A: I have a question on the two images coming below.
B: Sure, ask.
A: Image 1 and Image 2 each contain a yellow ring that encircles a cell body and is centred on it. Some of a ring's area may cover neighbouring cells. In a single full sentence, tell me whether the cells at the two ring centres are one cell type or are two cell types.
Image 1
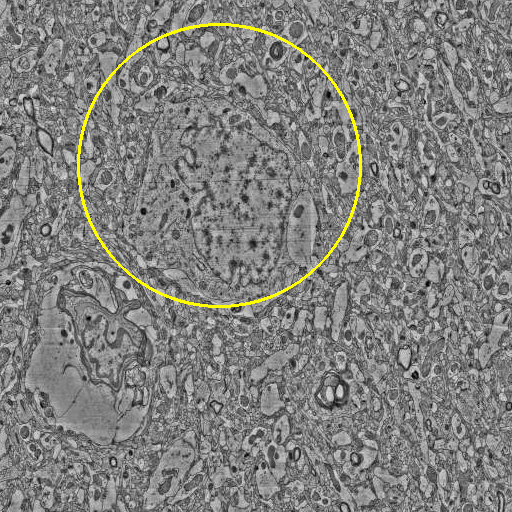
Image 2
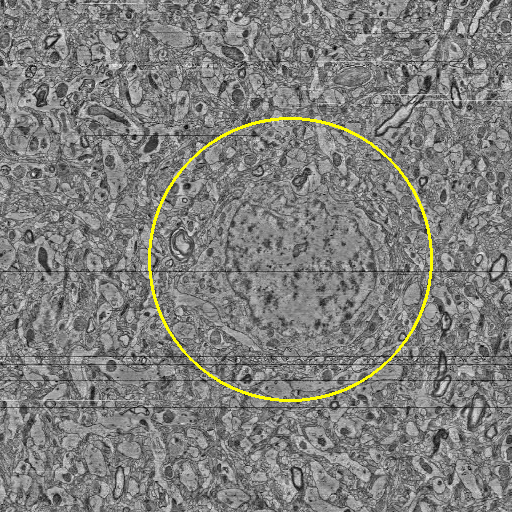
As for the ring-centre cells, the one in Image 1 and the one in Image 2 are one cell type.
